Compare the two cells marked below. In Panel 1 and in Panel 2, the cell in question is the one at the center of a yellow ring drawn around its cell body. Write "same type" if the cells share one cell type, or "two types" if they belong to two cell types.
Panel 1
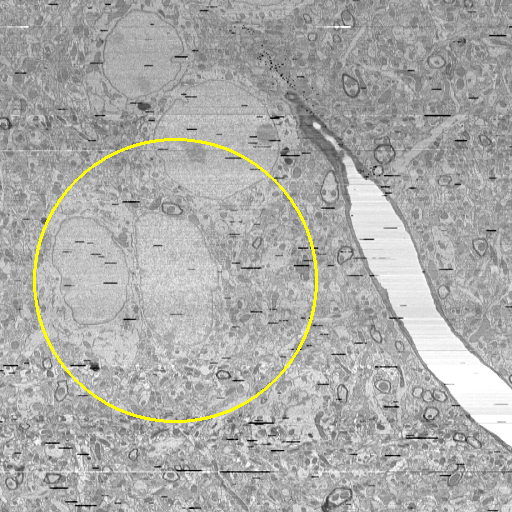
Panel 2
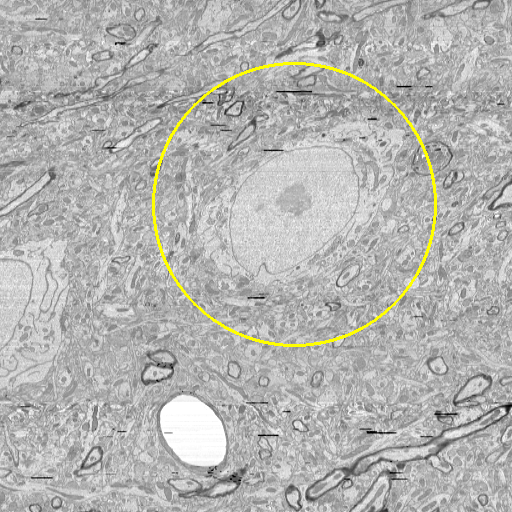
two types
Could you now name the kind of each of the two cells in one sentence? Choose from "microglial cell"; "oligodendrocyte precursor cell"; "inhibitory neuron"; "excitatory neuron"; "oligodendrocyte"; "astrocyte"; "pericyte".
The first ring encloses an astrocyte; the second ring encloses an excitatory neuron.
